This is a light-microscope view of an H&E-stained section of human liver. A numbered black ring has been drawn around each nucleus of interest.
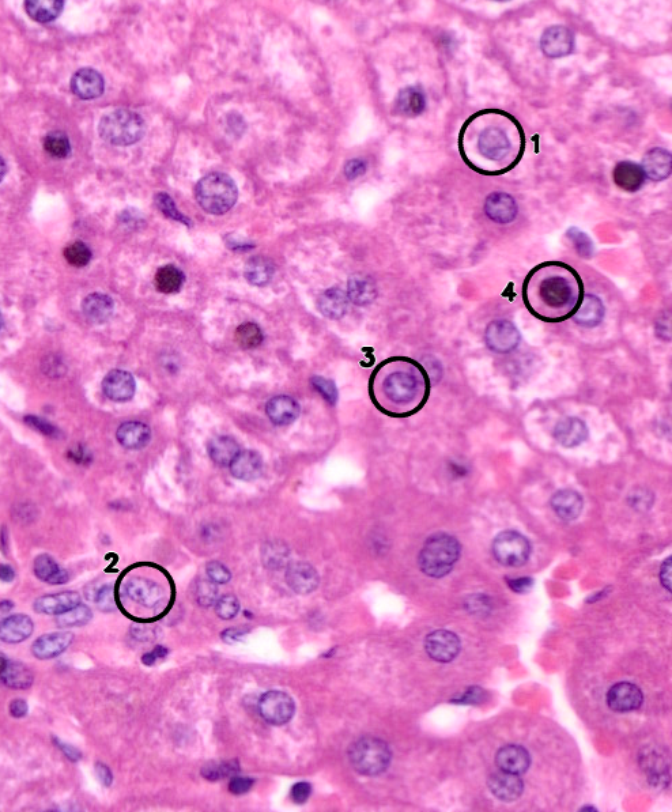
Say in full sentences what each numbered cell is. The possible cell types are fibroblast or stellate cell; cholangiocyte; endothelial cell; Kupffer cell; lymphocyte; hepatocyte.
Cells 1, 3 and 4 are hepatocytes. Cell 2 is a cholangiocyte.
